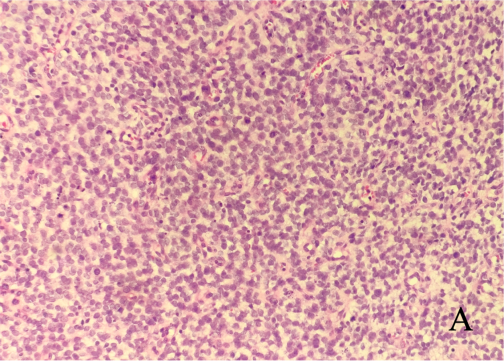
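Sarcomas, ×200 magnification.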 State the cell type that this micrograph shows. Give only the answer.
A: Small round cells.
